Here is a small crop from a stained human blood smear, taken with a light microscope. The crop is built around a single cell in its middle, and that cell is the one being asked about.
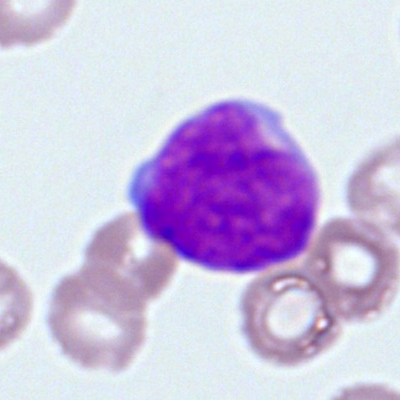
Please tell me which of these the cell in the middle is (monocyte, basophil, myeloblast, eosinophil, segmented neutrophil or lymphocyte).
myeloblast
